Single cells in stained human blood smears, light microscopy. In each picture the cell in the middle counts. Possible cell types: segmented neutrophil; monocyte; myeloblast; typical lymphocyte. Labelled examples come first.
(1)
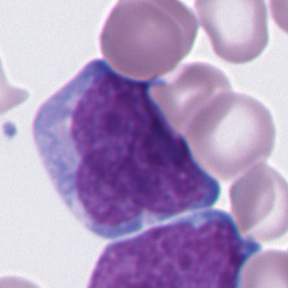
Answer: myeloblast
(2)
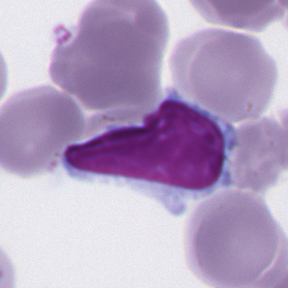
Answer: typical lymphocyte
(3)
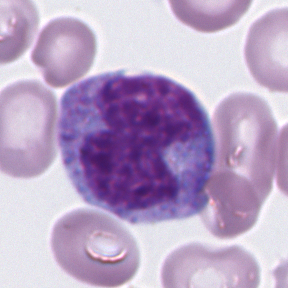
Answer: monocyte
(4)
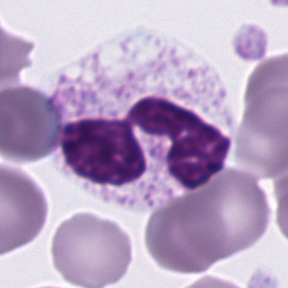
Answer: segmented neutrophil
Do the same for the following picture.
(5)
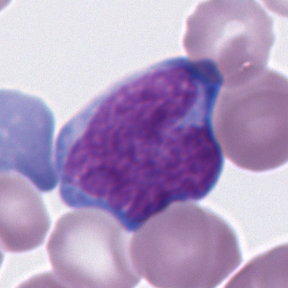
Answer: myeloblast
